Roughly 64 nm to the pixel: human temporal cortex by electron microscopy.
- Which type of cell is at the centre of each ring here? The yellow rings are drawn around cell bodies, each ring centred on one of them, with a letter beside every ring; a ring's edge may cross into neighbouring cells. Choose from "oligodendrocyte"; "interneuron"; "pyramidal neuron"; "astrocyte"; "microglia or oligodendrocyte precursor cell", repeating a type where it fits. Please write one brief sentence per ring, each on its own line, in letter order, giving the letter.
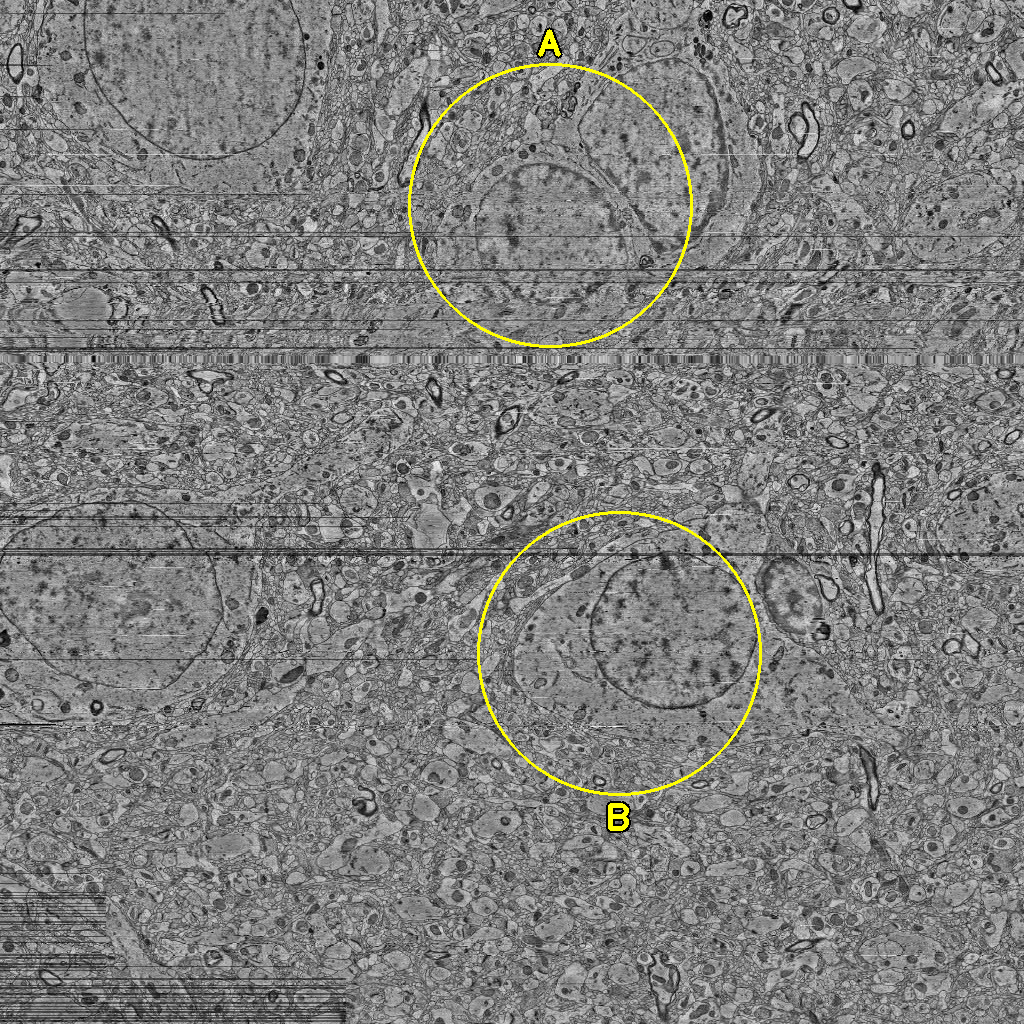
Ring A is centred over an interneuron.
Ring B is centred over a pyramidal neuron.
